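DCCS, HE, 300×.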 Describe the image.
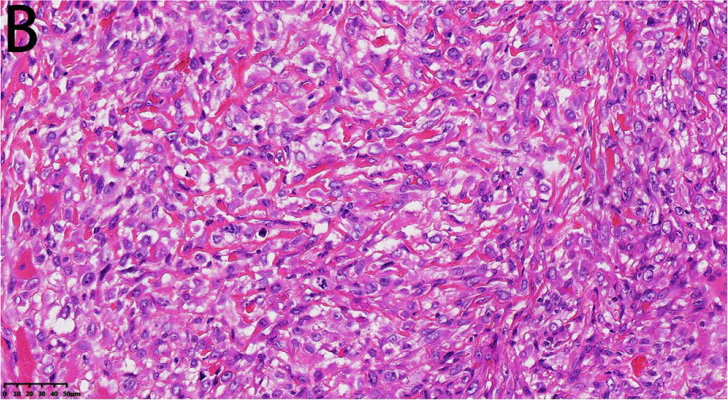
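Sarcoma component of plump epithelioid cells set in a sclerotic stroma. The cells are rounded to polygonal with pale, cleared or lightly eosinophilic cytoplasm. Nuclei are oval and enlarged with vesicular chromatin and small nucleoli. Thin strands and bands of bright pink collagen run between the cells, dividing them into small groups and cords.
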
